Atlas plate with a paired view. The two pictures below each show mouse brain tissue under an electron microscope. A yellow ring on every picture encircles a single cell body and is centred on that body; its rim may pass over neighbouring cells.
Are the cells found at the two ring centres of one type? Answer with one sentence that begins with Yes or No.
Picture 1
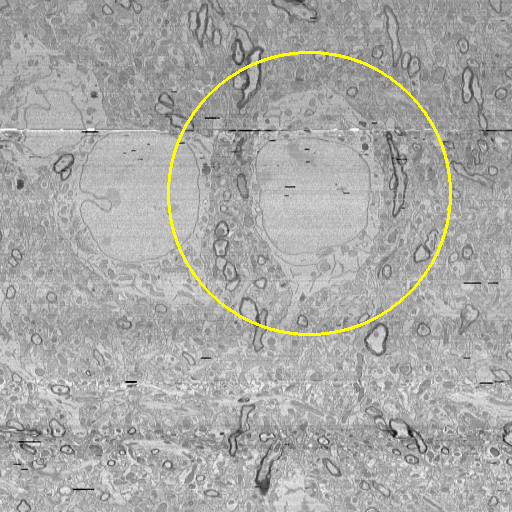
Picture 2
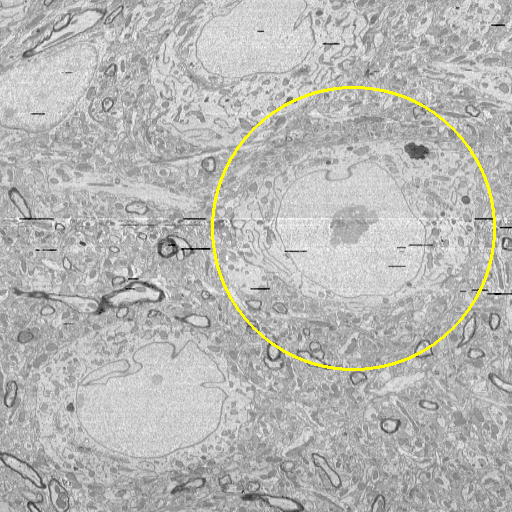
Yes, the two cells lying at the centres of the rings share a single type.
